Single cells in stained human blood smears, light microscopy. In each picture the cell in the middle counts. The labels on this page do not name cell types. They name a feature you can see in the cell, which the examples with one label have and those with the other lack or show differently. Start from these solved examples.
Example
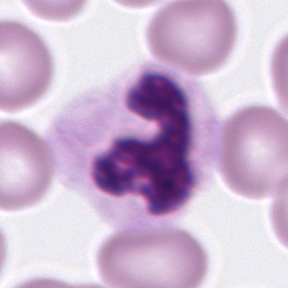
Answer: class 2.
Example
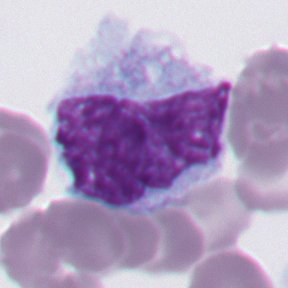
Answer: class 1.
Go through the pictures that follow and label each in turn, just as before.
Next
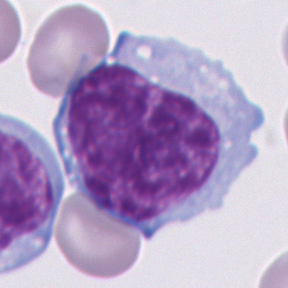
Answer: class 1.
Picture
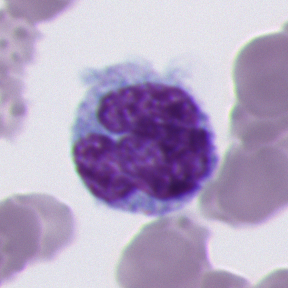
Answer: class 2.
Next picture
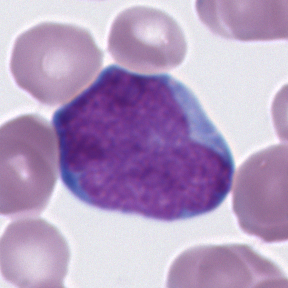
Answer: class 2.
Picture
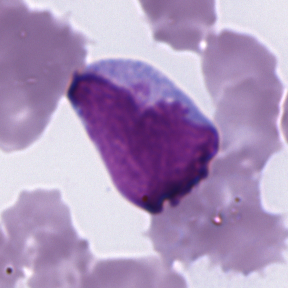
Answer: class 2.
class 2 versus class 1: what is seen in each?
class 2, no vacuoles; class 1, vacuoles present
